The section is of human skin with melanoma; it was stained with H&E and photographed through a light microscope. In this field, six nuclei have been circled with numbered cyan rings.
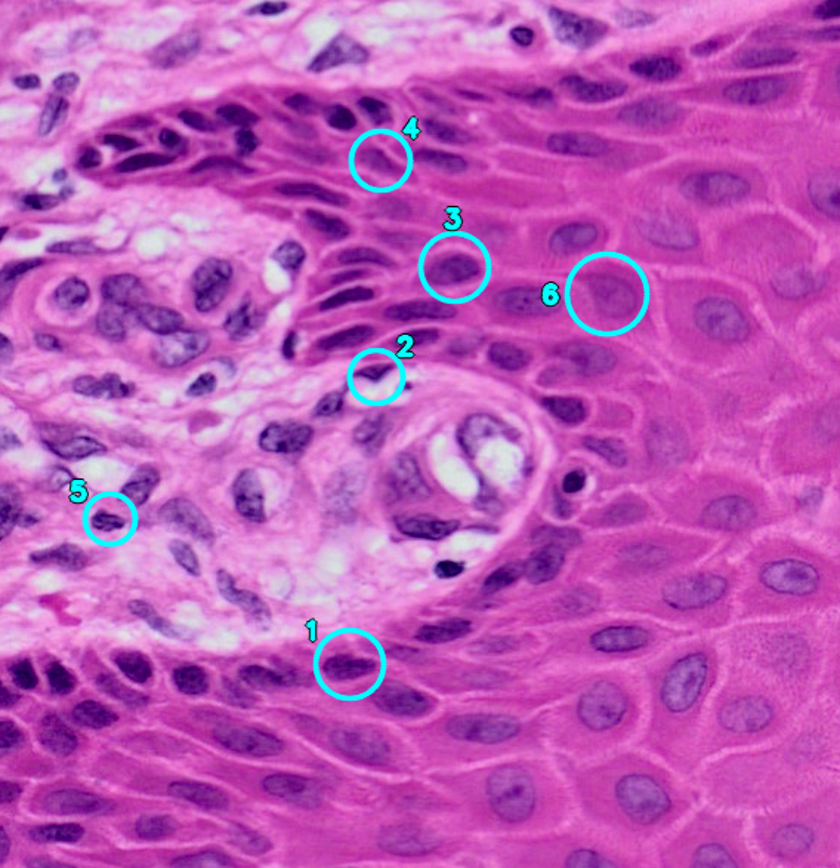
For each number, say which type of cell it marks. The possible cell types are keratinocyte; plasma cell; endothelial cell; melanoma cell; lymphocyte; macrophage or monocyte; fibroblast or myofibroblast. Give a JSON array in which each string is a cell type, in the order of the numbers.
["keratinocyte", "fibroblast or myofibroblast", "keratinocyte", "keratinocyte", "lymphocyte", "keratinocyte"]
